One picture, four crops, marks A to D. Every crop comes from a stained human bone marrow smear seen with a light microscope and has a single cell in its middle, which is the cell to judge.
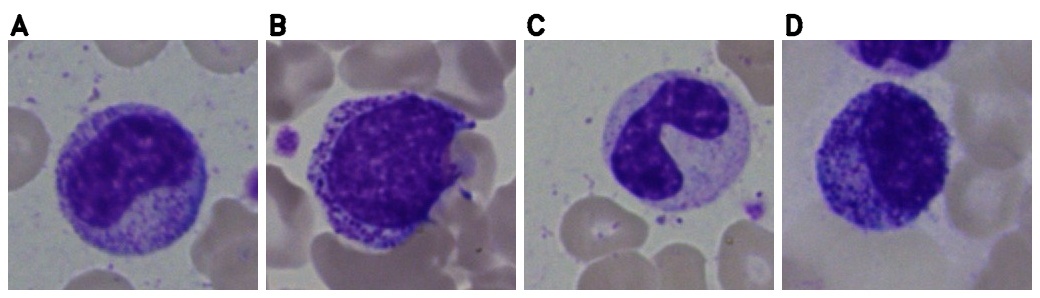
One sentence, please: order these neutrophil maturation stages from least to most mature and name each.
From the earliest stage onward, the order is crop D (a promyelocyte), crop B (a myelocyte), crop A (a metamyelocyte) and crop C (a band neutrophil).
